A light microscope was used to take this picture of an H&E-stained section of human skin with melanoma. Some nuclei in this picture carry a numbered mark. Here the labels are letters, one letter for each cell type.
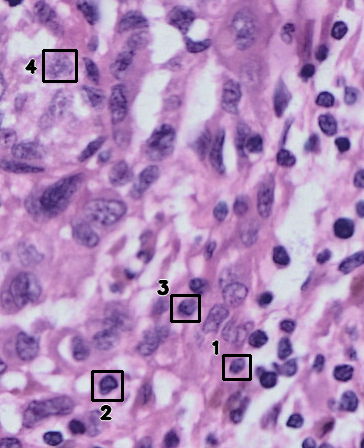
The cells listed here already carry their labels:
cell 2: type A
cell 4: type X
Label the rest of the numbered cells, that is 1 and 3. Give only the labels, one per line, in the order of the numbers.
type A
type A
